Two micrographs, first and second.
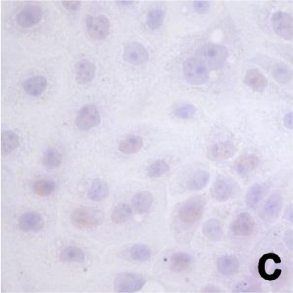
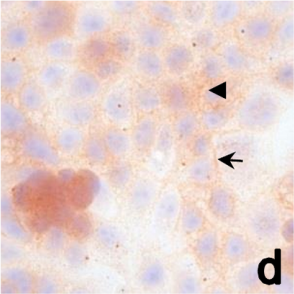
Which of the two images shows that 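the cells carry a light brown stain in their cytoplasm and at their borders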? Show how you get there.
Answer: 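The second image. Second image: cytoplasm and cell borders are tinted light brown, with a darker brown cell cluster.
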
